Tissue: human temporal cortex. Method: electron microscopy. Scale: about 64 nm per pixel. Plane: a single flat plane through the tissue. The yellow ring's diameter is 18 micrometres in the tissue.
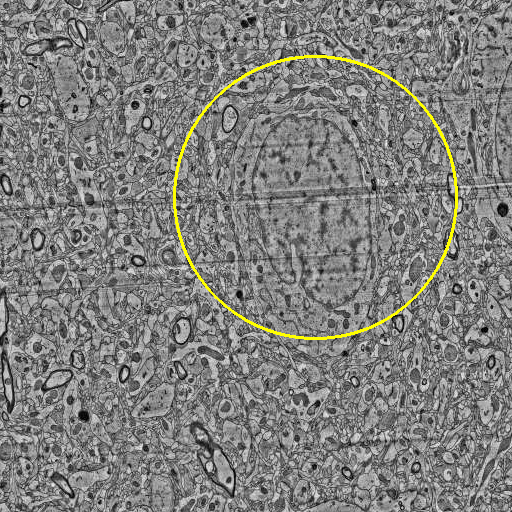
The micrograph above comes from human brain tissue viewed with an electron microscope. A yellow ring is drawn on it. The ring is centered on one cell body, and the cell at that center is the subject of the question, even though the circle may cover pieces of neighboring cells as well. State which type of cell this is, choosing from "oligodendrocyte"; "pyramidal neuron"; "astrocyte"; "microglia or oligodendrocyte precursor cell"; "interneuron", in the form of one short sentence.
The cell the ring is centered on is an interneuron.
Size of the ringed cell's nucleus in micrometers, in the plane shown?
The nucleus comes to approximately 12 by 8 micrometres and is clearly longer than it is wide in this plane.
